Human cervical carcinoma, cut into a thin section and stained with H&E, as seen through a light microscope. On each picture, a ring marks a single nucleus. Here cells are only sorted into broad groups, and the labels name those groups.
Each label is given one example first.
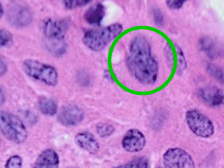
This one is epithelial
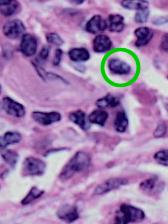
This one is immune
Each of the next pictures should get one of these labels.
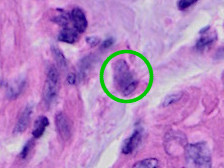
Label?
immune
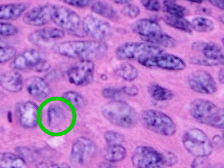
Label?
epithelial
